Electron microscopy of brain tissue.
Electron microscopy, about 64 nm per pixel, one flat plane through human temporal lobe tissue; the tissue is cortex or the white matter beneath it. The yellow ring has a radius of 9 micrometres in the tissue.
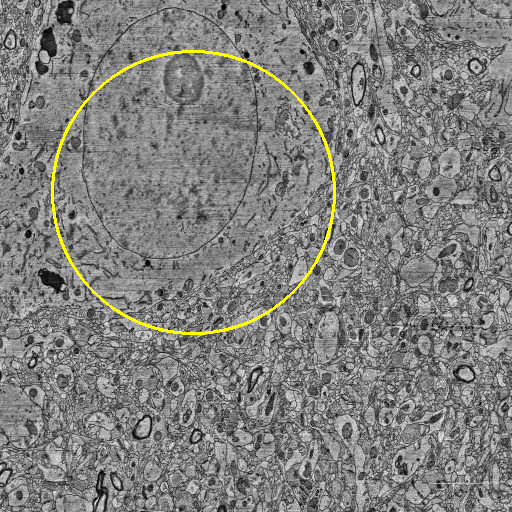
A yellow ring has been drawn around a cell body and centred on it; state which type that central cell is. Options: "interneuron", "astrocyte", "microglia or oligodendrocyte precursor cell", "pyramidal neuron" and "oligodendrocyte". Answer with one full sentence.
The cell at the middle of the yellow ring is a pyramidal neuron in this picture.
